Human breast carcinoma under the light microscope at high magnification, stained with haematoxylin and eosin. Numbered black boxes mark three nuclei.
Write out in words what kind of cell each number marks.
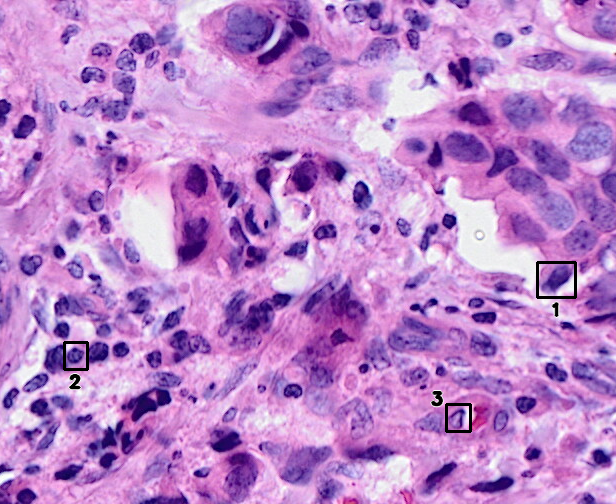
Cell 1 is a carcinoma cell, cell 2 is a lymphocyte and cell 3 is an endothelial cell.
